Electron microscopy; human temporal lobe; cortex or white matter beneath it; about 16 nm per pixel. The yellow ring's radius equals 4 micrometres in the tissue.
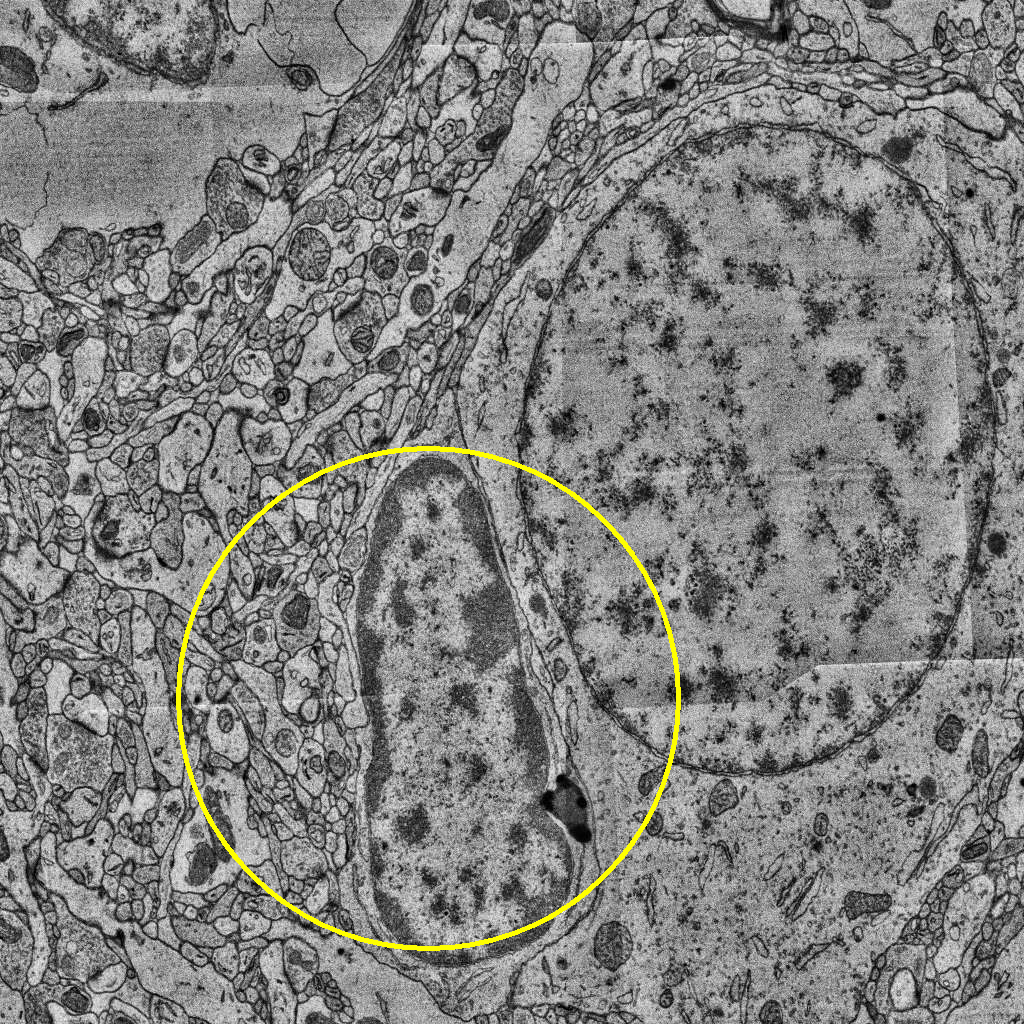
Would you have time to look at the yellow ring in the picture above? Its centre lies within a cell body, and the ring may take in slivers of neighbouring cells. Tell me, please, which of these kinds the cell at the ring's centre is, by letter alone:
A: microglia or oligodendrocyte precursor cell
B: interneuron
A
